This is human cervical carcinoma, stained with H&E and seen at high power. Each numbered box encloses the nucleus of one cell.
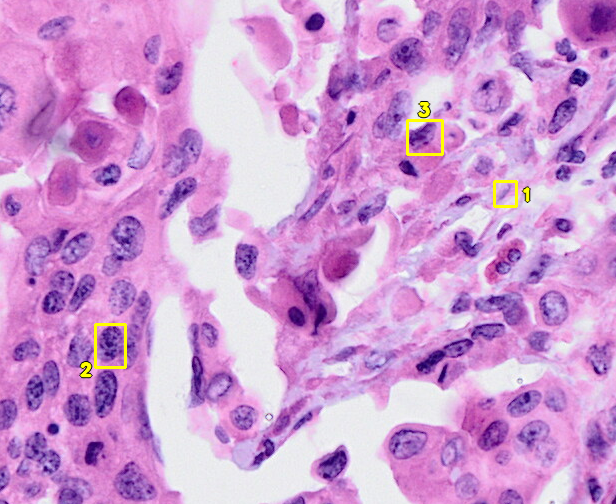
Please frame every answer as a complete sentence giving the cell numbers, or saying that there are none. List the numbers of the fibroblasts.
Of the cells marked with numbers, cell 1 is the only one that is a fibroblast.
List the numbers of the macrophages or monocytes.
Only one of the numbered nuclei, number 3, belongs to a macrophage or monocyte.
